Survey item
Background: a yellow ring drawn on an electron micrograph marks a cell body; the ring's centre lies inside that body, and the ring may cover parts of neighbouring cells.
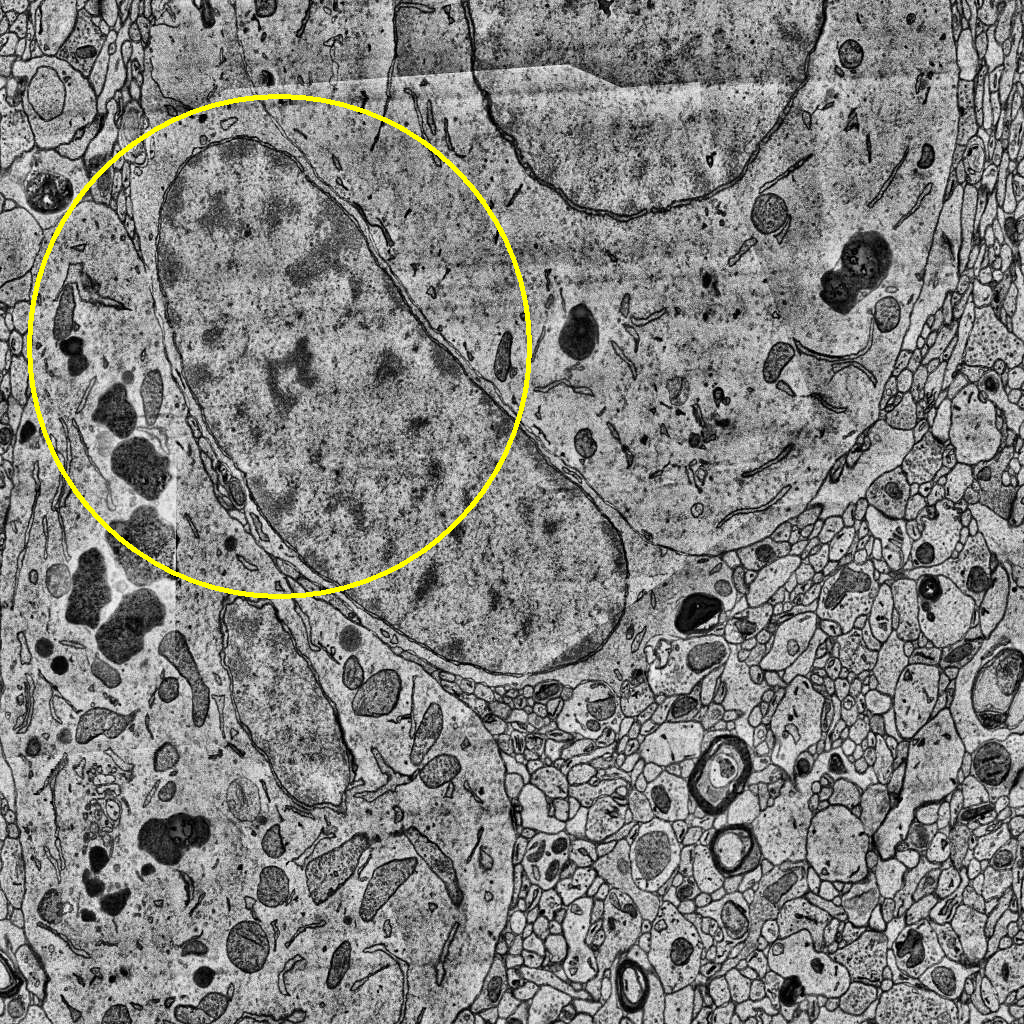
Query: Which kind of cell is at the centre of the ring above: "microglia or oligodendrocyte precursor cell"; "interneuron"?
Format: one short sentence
The cell in the middle of the ring is a microglial cell or oligodendrocyte precursor cell.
